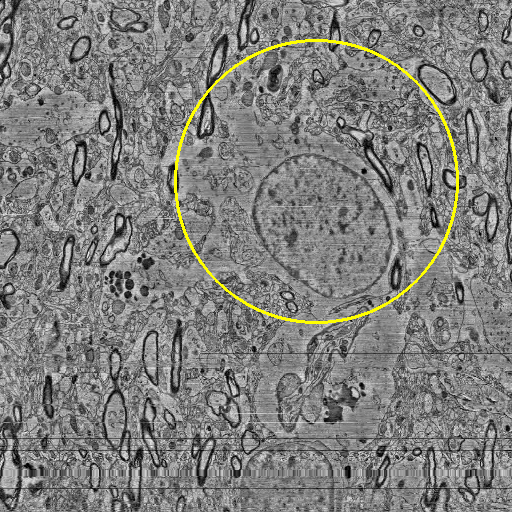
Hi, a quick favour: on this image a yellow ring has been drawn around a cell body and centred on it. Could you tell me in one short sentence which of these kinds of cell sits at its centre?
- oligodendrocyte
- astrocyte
The ring is centred on an astrocyte.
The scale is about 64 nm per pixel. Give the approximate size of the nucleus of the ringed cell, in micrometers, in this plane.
About 10 by 8 micrometres in this plane.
